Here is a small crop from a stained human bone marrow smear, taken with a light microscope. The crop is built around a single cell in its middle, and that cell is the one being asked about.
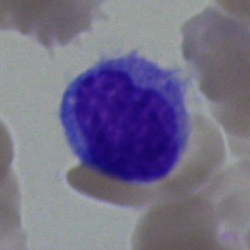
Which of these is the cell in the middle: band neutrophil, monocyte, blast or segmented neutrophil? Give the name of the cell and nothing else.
monocyte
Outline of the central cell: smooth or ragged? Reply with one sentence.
The edge of the cell is broken up by ragged stretches or by outward projections.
